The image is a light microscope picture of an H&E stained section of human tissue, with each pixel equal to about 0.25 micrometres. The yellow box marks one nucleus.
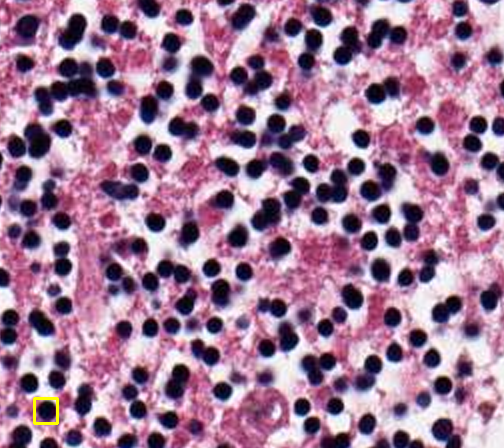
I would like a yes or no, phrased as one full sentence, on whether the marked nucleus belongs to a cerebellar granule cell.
Yes, the marked nucleus belongs to a cerebellar granule cell in this field.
